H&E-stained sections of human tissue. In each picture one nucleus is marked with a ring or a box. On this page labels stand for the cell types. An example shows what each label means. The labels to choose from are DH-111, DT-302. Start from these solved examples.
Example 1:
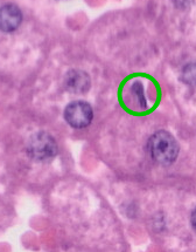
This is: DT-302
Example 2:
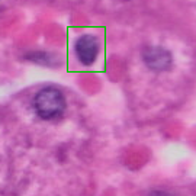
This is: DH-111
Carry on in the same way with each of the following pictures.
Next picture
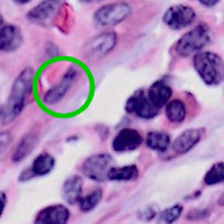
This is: DT-302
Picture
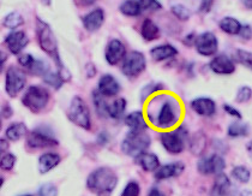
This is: DH-111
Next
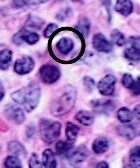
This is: DH-111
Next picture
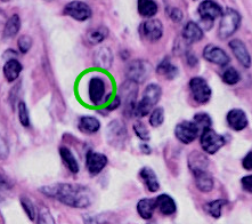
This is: DH-111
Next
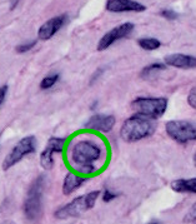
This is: DT-302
